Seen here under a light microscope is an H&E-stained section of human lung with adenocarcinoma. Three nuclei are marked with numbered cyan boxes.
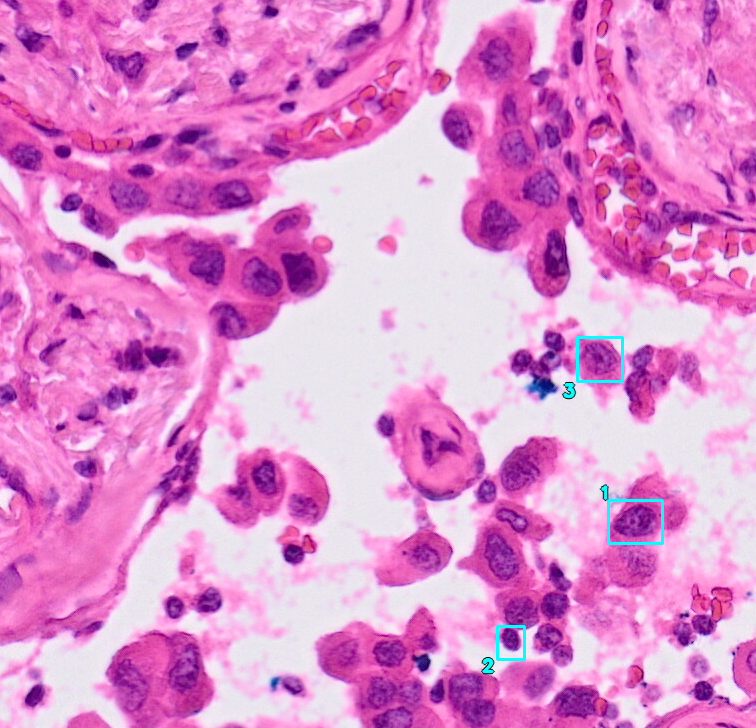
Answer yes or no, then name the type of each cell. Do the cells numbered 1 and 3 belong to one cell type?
Yes, cells 1 and 3 are both termed carcinoma cells.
